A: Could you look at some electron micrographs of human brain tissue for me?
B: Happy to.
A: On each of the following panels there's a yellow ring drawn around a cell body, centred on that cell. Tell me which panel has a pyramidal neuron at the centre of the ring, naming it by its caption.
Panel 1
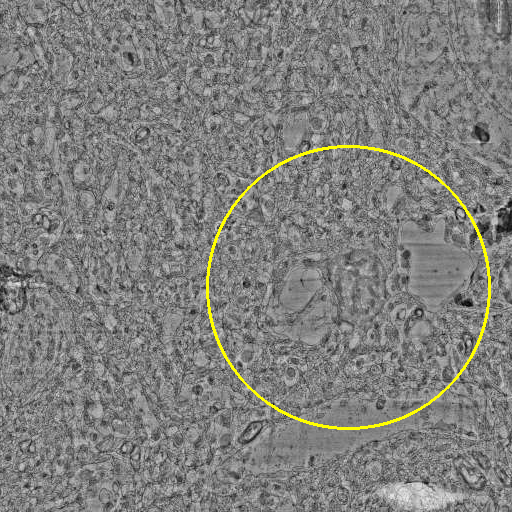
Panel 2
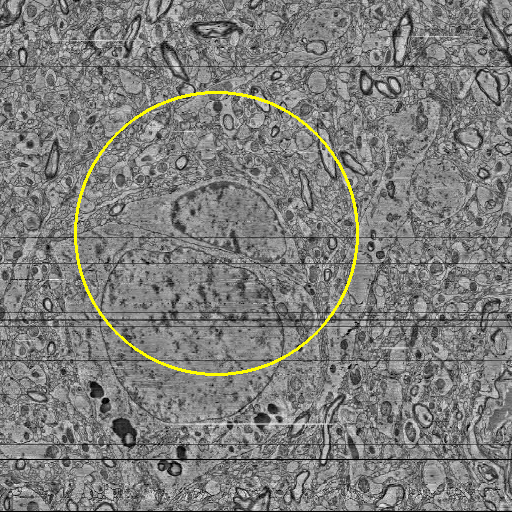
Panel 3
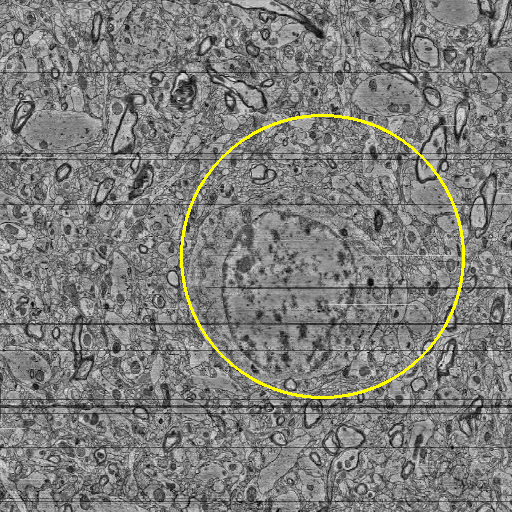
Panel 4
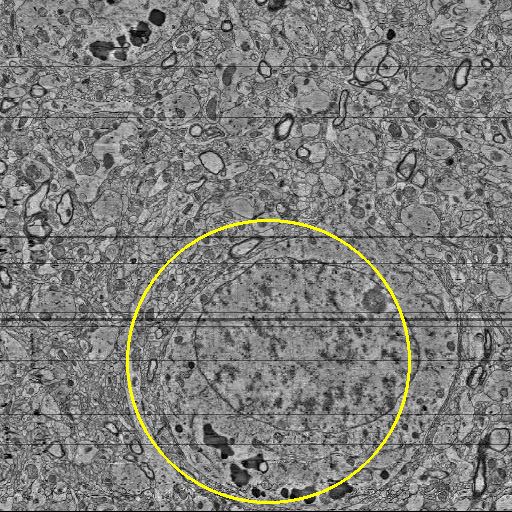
Panel 4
